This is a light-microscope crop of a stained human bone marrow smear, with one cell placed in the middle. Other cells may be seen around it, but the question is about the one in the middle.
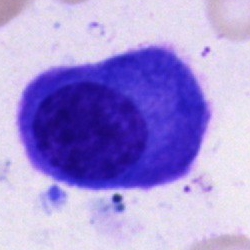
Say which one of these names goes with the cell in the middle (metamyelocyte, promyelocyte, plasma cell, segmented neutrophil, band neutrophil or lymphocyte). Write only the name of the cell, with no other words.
plasma cell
